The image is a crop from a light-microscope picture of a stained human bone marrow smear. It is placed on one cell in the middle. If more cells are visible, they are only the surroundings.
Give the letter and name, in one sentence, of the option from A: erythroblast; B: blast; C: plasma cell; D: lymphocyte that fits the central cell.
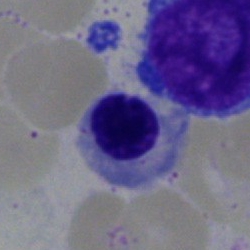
Option A is right in identifying the central cell as an erythroblast.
